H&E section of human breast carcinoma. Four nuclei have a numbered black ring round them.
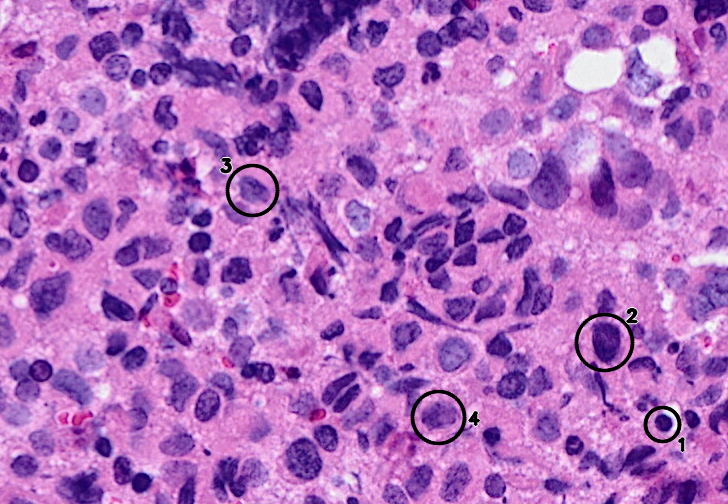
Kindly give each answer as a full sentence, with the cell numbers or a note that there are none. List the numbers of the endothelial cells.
All of the numbered cells are cells other than endothelial cells.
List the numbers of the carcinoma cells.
The cells labelled 2, 3 and 4 in this section are carcinoma cells.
